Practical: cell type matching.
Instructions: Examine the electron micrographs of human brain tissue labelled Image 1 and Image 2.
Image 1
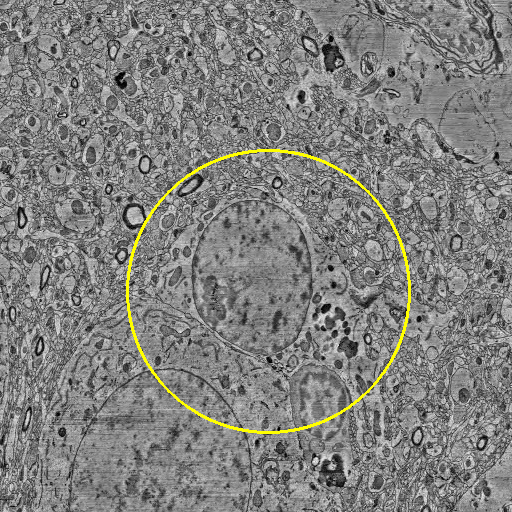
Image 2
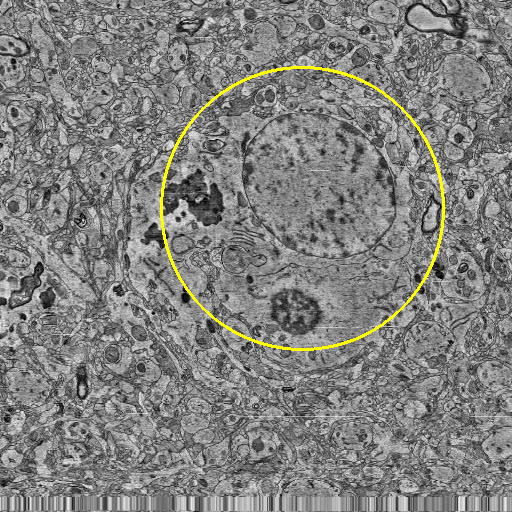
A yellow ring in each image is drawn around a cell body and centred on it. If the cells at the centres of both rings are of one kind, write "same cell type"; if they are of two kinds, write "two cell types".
same cell type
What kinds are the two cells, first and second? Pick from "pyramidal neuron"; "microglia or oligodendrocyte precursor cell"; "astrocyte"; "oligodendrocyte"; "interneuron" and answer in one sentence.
Each one of the two ringed cells is an astrocyte.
